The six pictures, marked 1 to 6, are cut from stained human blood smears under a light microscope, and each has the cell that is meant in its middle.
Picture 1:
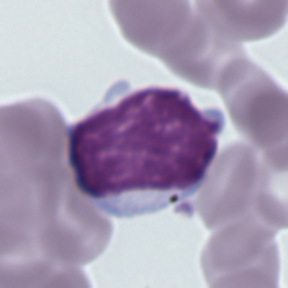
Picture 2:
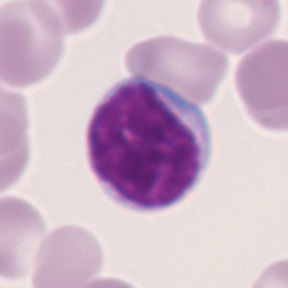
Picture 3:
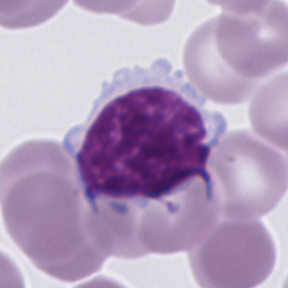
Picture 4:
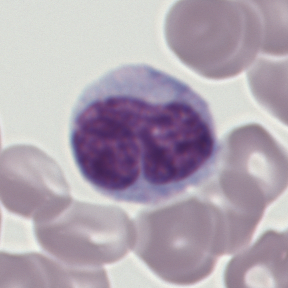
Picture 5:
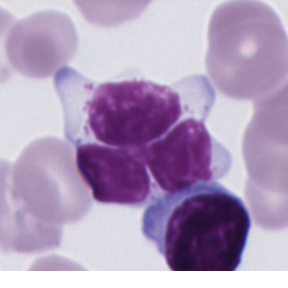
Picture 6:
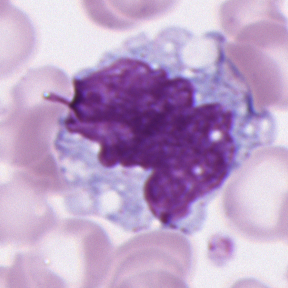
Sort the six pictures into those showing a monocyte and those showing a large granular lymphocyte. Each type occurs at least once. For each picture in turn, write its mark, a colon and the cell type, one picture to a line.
1: large granular lymphocyte
2: large granular lymphocyte
3: large granular lymphocyte
4: monocyte
5: large granular lymphocyte
6: monocyte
